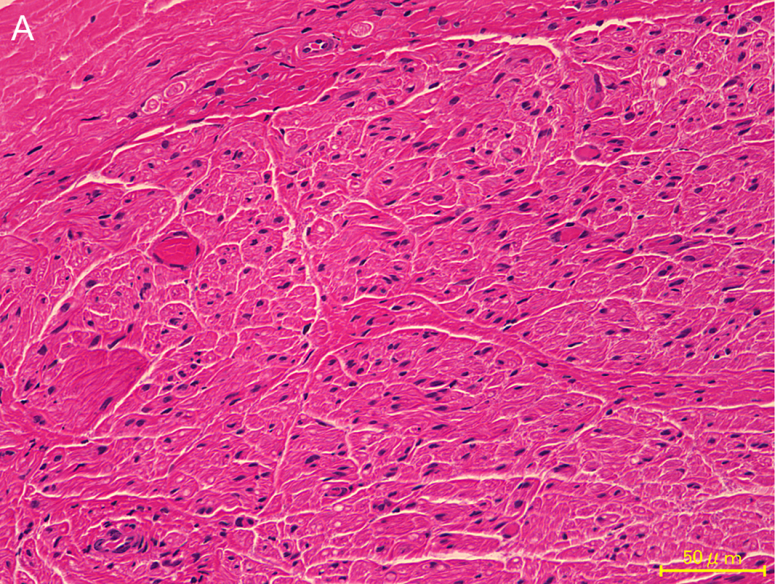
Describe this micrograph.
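Numerous small, dark, elongated spindle-shaped nuclei are scattered through the eosin-stained strands, which are separated by narrow clear cleft-like spaces into small bundles. A denser, more uniformly pink band runs along the top edge, and a few small vessels are cut across within the tissue.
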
